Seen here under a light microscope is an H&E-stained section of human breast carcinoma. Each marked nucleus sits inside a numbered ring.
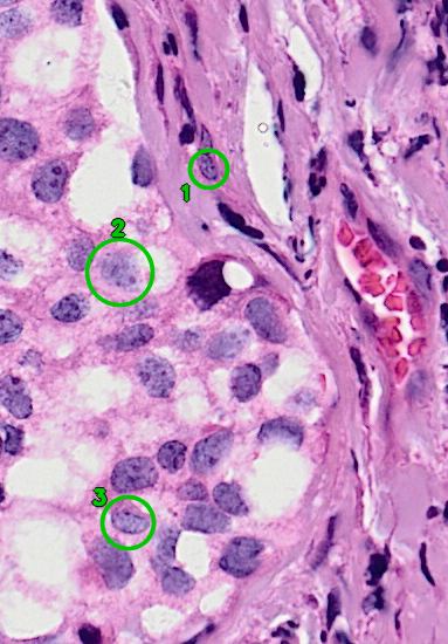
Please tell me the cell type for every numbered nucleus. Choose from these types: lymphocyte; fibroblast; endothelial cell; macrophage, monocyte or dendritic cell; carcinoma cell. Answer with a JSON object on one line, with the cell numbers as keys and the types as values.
{"1": "endothelial cell", "2": "carcinoma cell", "3": "carcinoma cell"}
